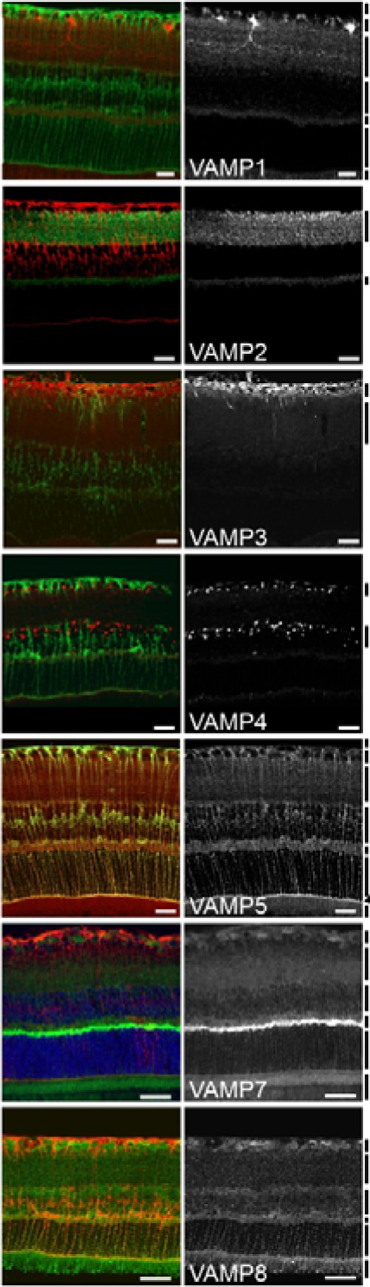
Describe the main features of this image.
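These are sections of retina, each shown in color and in greyscale. The sections show the typical layering: alternating bands of densely packed nuclei and fibrous plexiform layers between the inner and outer surfaces. The distribution of the second label differs from row to row, concentrated in some rows in particular layers and in others along the radial fibres.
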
